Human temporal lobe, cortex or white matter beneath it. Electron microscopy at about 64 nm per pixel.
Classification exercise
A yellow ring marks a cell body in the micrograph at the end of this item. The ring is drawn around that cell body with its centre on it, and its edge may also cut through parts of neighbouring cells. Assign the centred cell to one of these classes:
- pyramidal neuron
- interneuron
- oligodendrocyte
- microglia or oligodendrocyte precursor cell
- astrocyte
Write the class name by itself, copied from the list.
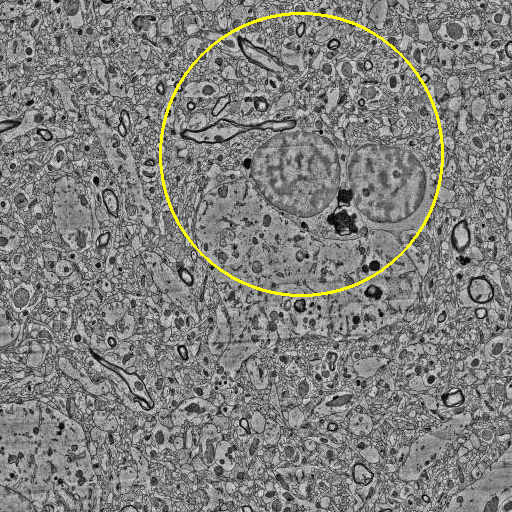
oligodendrocyte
